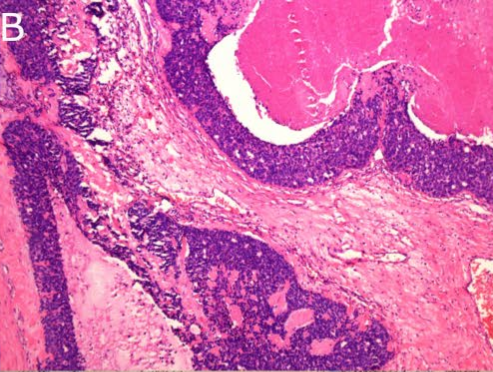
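This is the wall of a tumor cyst lined by basaloid tumor cells, seen at higher magnification. The lining forms an orderly band of small, closely packed cells with dark blue nuclei and little cytoplasm, set on pink fibrous stroma. The cyst lumen is filled with pink material without tumor cells in it, and nearby tumor nests have small gland-like spaces within them.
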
